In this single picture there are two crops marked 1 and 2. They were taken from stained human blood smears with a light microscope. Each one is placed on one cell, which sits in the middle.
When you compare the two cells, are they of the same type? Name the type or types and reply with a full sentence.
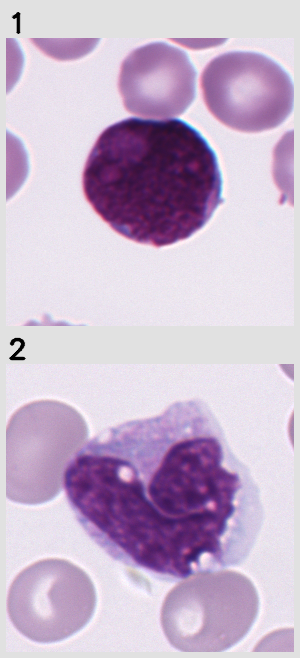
No, crop 1 shows a myeloblast, with a monocyte shown in crop 2.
